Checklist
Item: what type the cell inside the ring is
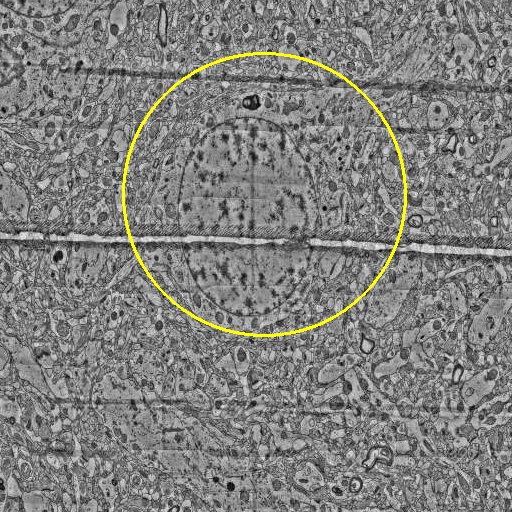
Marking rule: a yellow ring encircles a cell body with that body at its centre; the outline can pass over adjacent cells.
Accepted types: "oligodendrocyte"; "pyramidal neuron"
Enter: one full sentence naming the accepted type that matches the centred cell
The entry is that a pyramidal neuron lies at the centre of the yellow ring.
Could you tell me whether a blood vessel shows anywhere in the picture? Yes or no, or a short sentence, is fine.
No, there is no blood vessel in the image.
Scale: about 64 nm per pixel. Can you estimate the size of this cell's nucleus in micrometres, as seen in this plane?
Approximately 13 by 9 micrometers in this plane.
